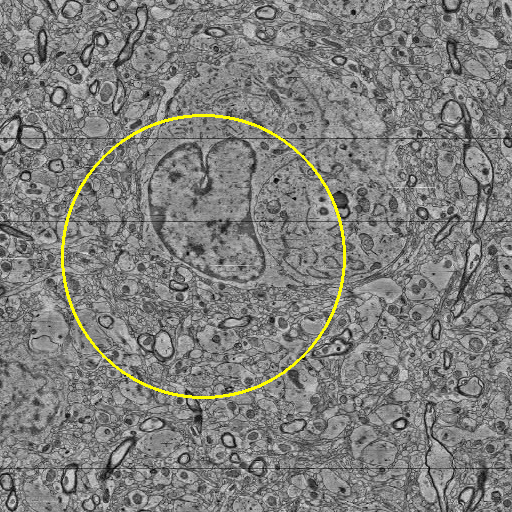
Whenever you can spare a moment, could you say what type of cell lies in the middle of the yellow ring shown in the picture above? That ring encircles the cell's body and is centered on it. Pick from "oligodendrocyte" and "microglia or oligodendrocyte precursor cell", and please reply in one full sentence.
The cell whose body sits at the middle of the yellow ring is a microglial cell or oligodendrocyte precursor cell.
